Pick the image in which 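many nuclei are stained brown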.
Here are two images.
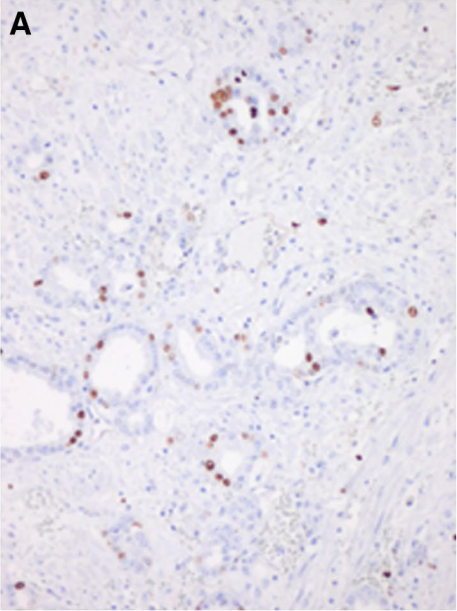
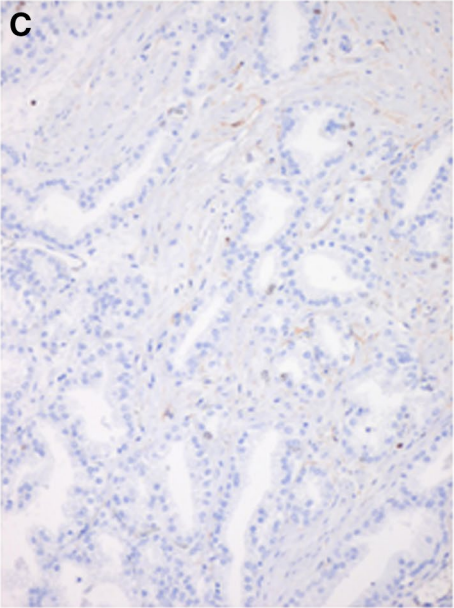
The first image.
